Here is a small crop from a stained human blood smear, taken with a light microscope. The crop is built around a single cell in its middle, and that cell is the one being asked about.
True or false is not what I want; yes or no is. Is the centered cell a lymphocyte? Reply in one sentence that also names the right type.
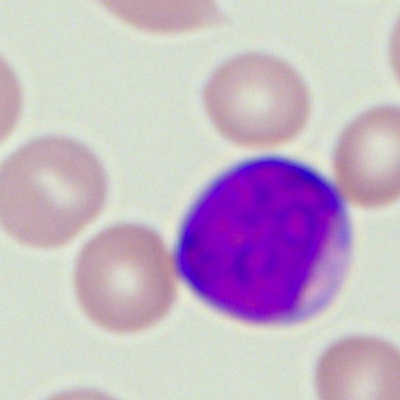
No, rather than being a lymphocyte, the central cell is a myeloblast.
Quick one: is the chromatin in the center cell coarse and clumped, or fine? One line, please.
The chromatin pattern here is coarse and clumped.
